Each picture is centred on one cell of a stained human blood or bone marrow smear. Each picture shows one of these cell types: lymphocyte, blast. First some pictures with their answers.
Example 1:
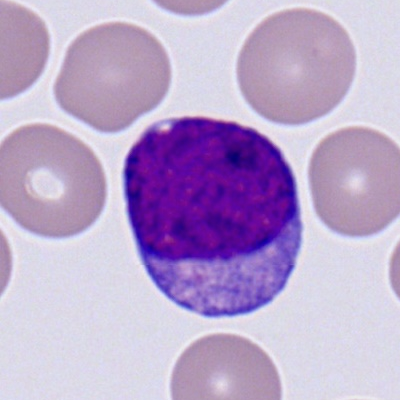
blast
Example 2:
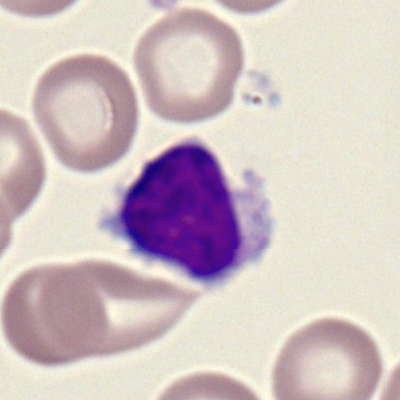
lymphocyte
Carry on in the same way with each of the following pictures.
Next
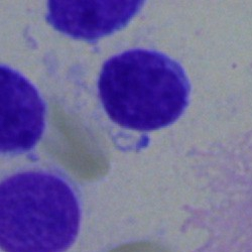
lymphocyte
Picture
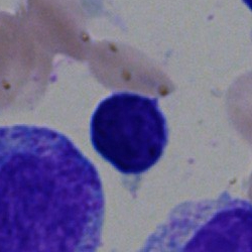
lymphocyte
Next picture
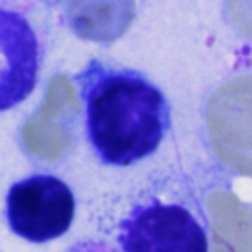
lymphocyte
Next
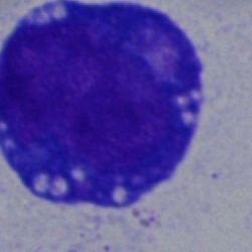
blast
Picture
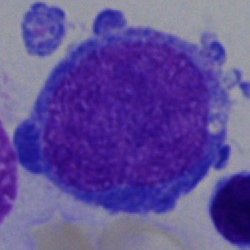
blast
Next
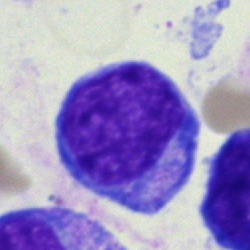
blast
